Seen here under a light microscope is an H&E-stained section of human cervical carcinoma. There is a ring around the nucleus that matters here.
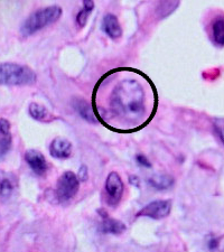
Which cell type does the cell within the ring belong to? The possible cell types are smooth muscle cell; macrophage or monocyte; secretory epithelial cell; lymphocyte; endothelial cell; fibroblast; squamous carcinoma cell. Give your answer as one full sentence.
This is an endothelial cell.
